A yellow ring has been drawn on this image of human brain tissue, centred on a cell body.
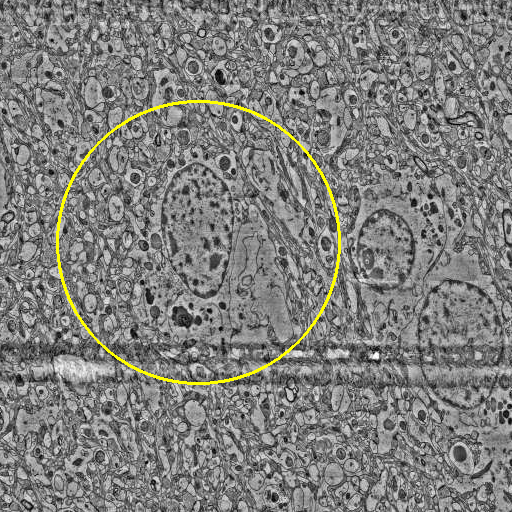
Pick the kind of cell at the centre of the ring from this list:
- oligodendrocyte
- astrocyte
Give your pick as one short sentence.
The centre of the ring holds an astrocyte.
